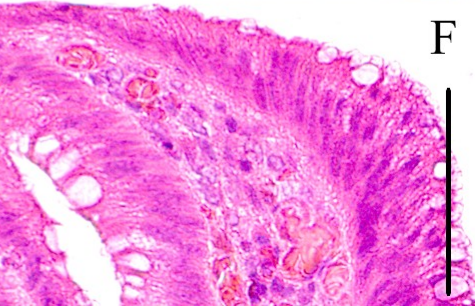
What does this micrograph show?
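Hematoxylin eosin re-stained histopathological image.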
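Surface of glandular mucosa stained pink and purple. A single layer of tall columnar epithelium with elongated, crowded purple nuclei lines the surface and a gland lumen at lower left. Many clear round vacuoles, goblet cells, sit among the columnar cells. The stroma beneath holds small vessels packed with pink-red red blood cells, together with scattered small round purple nuclei.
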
